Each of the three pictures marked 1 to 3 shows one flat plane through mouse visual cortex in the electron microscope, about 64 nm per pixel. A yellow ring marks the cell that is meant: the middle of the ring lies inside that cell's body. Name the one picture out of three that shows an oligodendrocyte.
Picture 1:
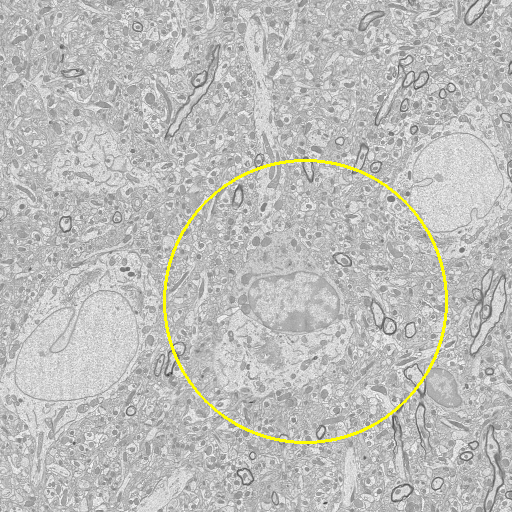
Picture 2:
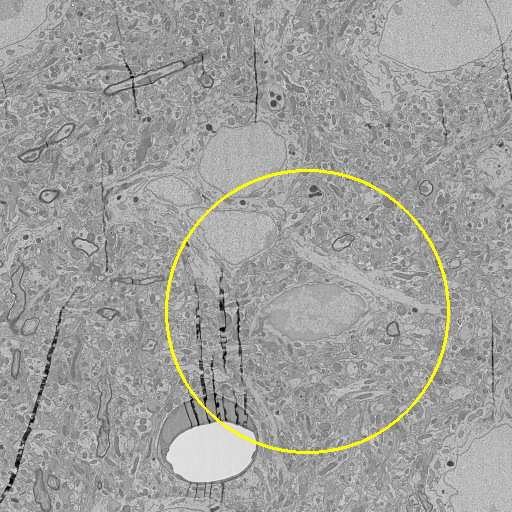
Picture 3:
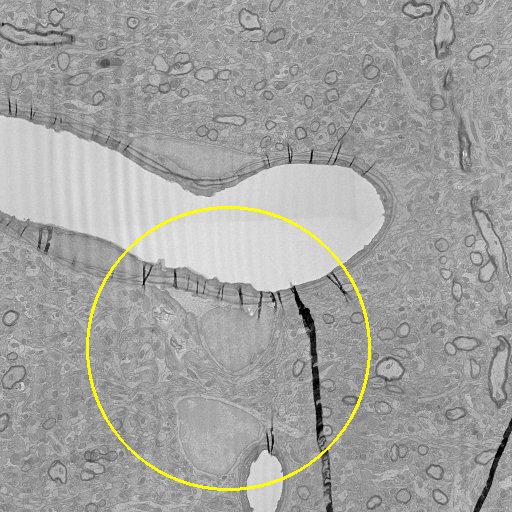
The picture with the oligodendrocyte is 1.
